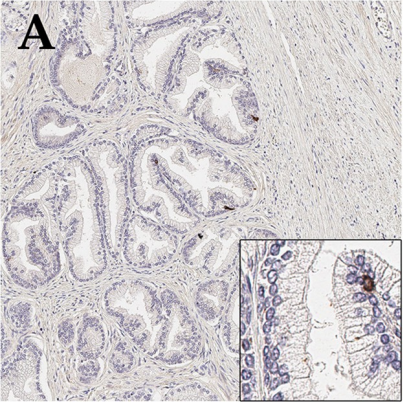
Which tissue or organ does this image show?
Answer: Glandular epithelium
